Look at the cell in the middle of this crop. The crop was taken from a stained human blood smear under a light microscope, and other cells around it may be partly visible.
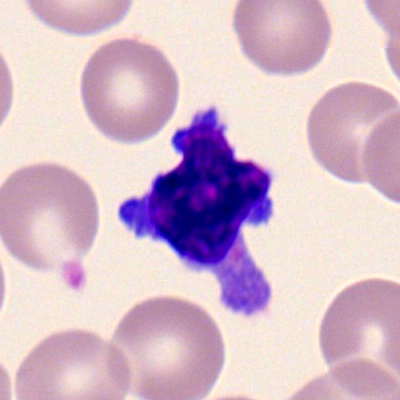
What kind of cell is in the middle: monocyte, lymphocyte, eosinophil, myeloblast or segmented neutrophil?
lymphocyte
